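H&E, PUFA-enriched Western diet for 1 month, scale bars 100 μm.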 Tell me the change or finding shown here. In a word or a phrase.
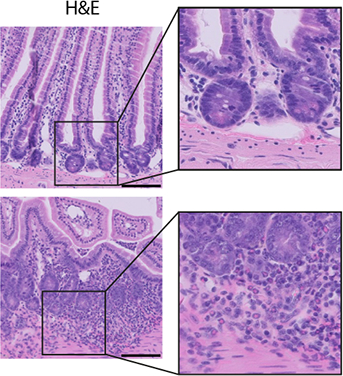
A: infiltration of immune cells into the bowel wall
